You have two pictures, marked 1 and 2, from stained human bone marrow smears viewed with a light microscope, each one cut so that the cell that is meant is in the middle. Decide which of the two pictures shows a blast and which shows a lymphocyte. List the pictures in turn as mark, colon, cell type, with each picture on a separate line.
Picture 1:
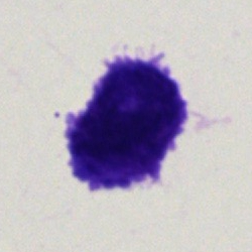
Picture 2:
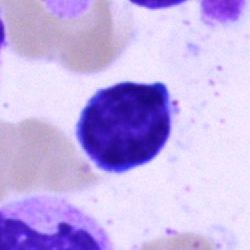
1: blast
2: lymphocyte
